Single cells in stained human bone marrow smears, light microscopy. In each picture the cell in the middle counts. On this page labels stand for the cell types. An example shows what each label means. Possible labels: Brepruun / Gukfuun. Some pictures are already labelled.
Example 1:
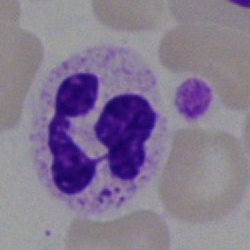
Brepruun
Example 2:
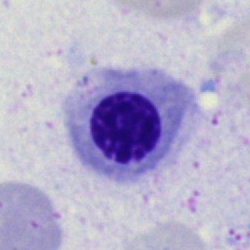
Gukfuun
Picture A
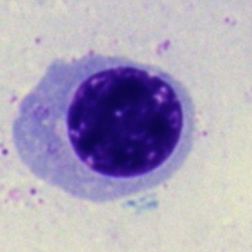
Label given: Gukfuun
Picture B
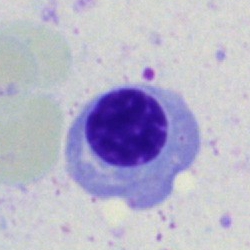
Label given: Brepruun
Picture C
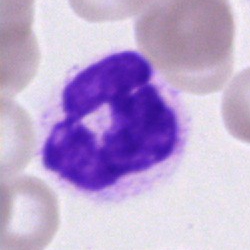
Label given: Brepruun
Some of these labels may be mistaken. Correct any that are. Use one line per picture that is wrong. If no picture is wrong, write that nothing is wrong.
B should be Gukfuun, not Brepruun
